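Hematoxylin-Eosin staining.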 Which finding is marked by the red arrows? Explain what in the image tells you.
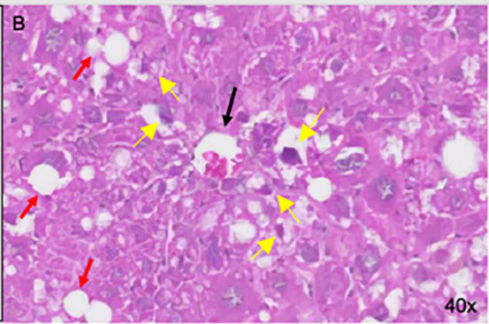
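The arrows point to round, sharply bounded empty white vacuoles. The vacuoles lie among the hepatocytes of the pink parenchyma.
Answer: steatosis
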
